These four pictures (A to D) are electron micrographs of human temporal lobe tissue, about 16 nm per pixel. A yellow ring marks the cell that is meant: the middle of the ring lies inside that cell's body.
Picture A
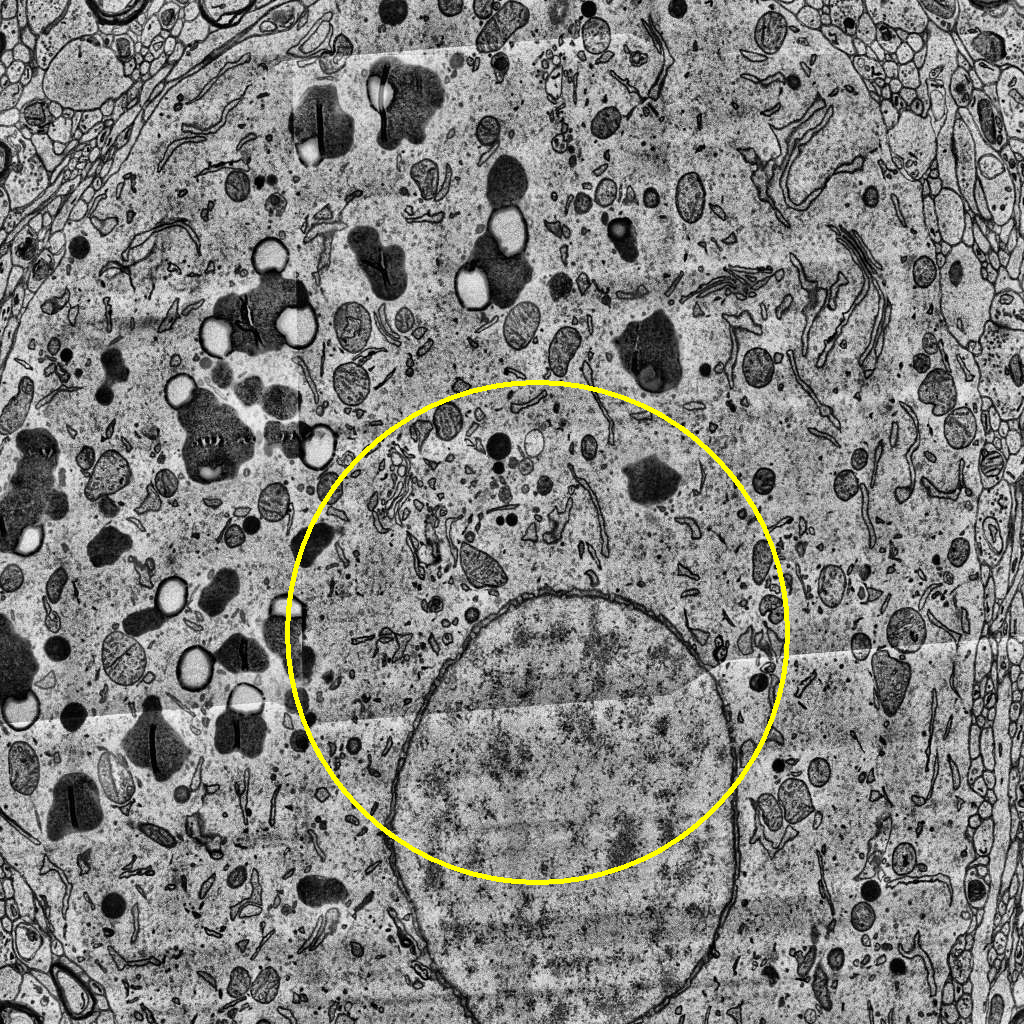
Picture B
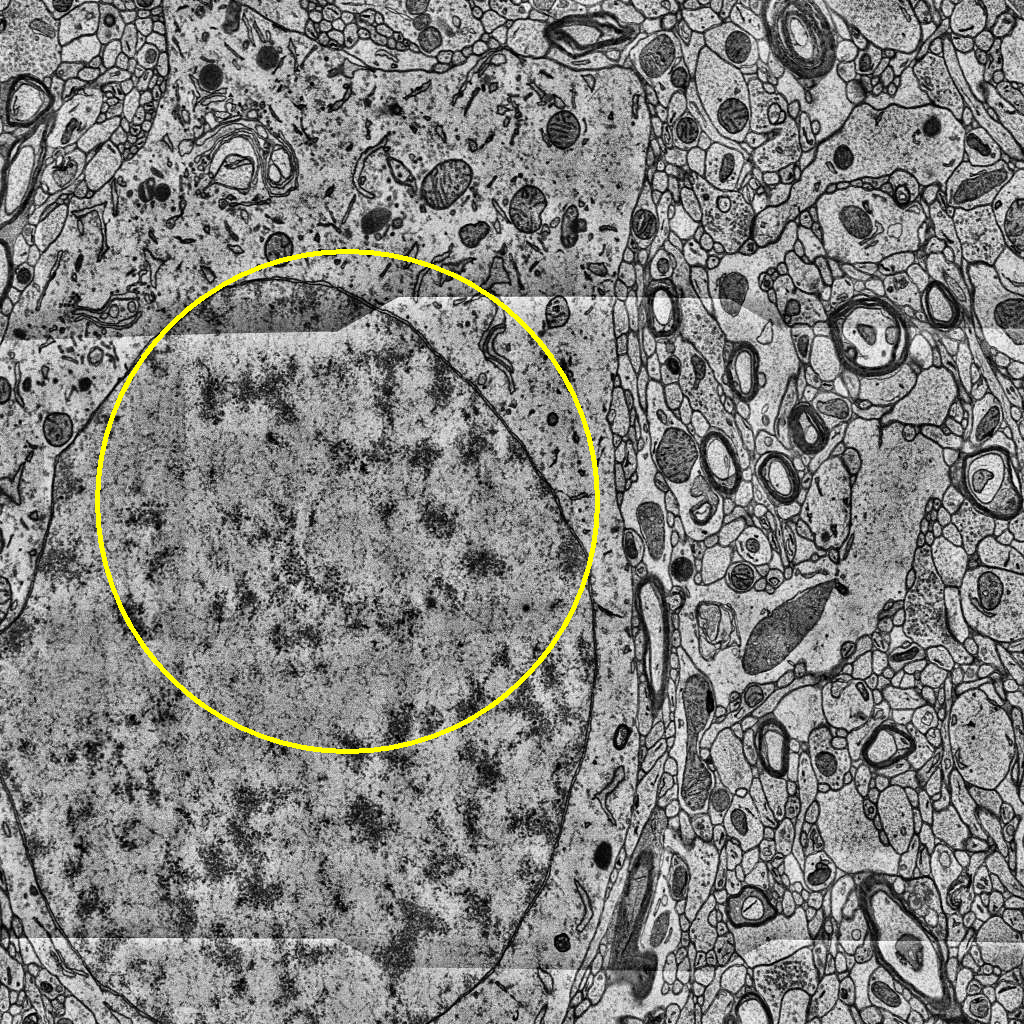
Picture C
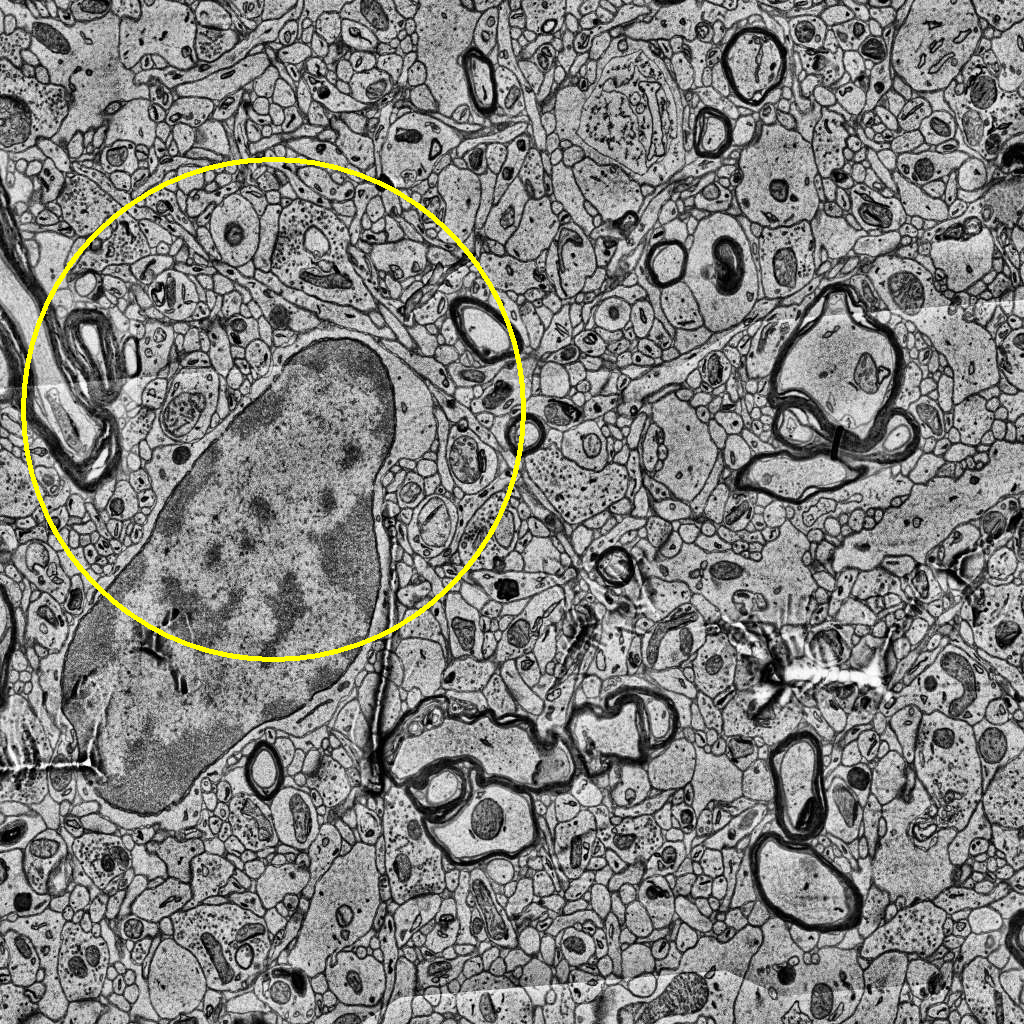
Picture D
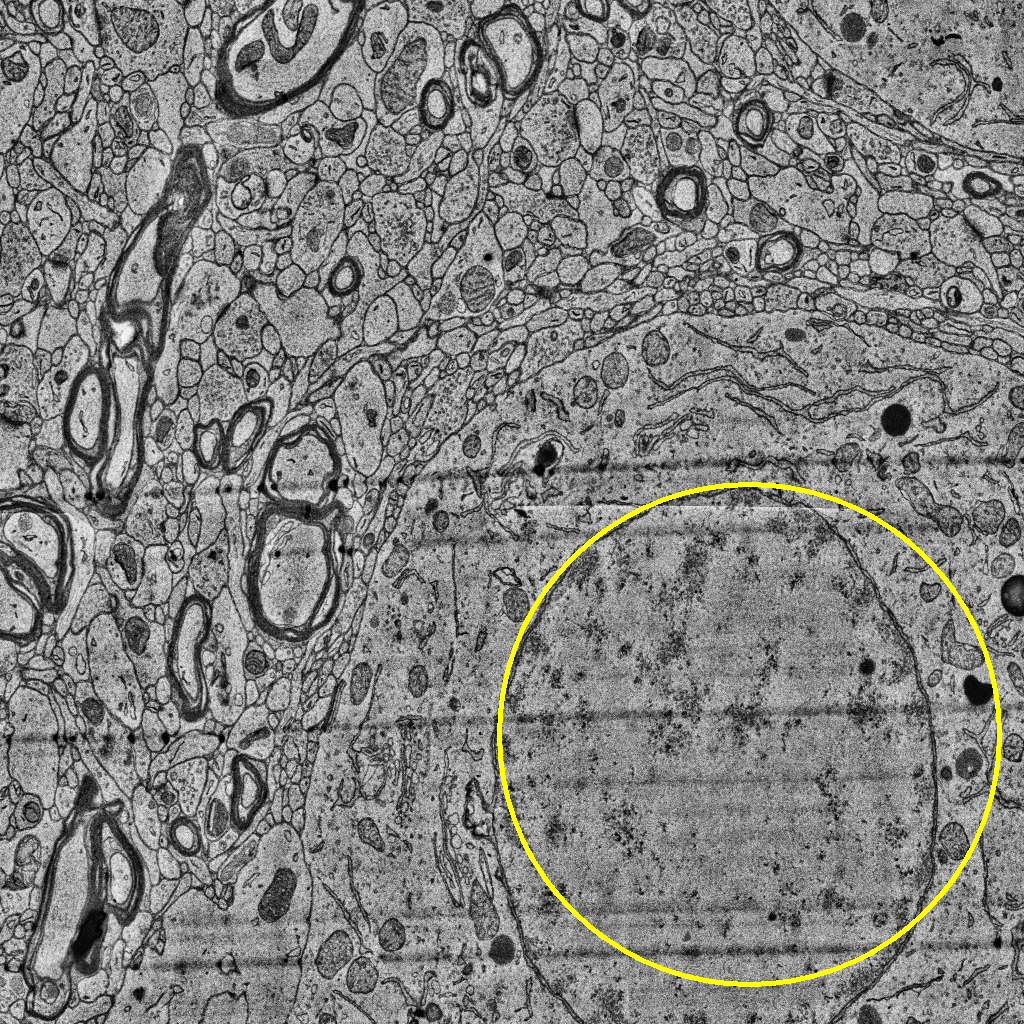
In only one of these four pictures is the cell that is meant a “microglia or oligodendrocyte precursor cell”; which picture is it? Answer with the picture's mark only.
C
